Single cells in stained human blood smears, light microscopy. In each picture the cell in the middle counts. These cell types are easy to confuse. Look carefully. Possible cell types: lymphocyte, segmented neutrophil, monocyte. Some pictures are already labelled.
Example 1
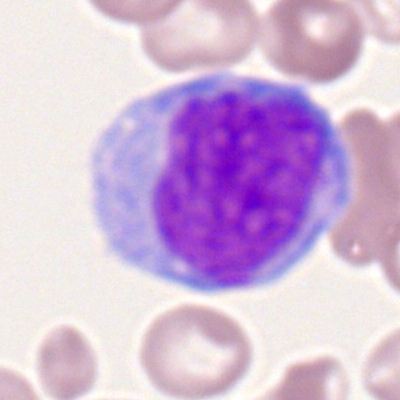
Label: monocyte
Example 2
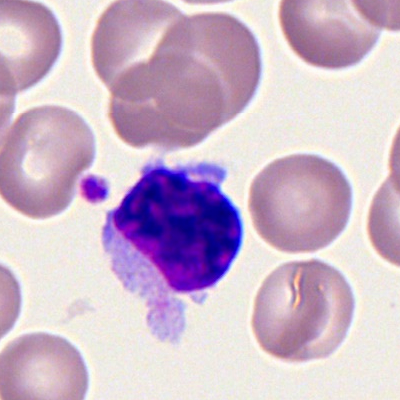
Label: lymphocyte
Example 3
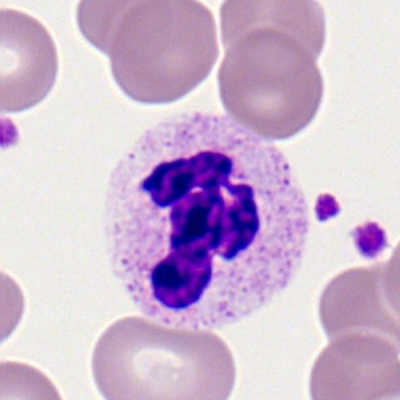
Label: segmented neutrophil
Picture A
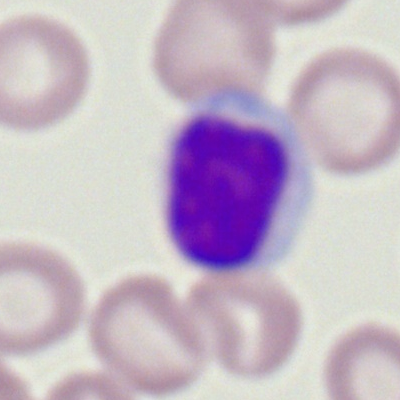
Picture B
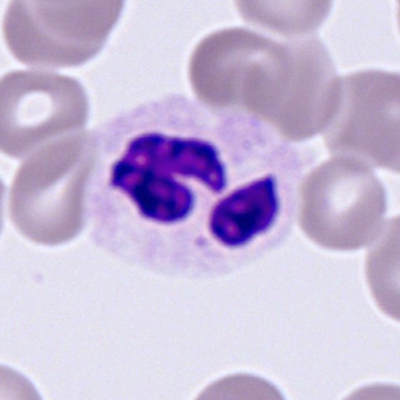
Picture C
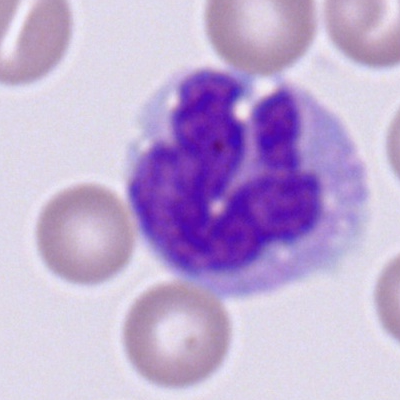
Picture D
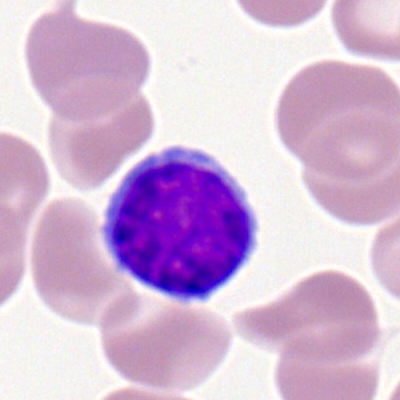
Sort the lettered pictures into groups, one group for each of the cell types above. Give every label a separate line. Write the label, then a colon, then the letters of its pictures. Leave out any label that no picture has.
lymphocyte: A, D
segmented neutrophil: B
monocyte: C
